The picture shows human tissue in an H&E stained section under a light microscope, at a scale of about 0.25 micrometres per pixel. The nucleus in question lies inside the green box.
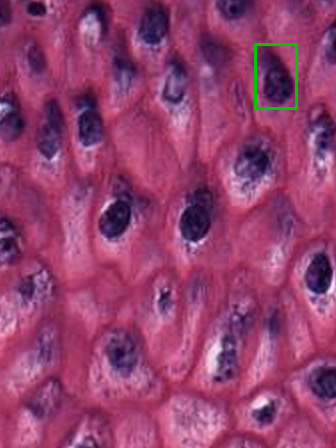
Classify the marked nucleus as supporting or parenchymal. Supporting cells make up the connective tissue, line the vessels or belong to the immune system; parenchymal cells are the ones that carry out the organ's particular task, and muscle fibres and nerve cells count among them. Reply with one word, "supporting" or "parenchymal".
parenchymal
